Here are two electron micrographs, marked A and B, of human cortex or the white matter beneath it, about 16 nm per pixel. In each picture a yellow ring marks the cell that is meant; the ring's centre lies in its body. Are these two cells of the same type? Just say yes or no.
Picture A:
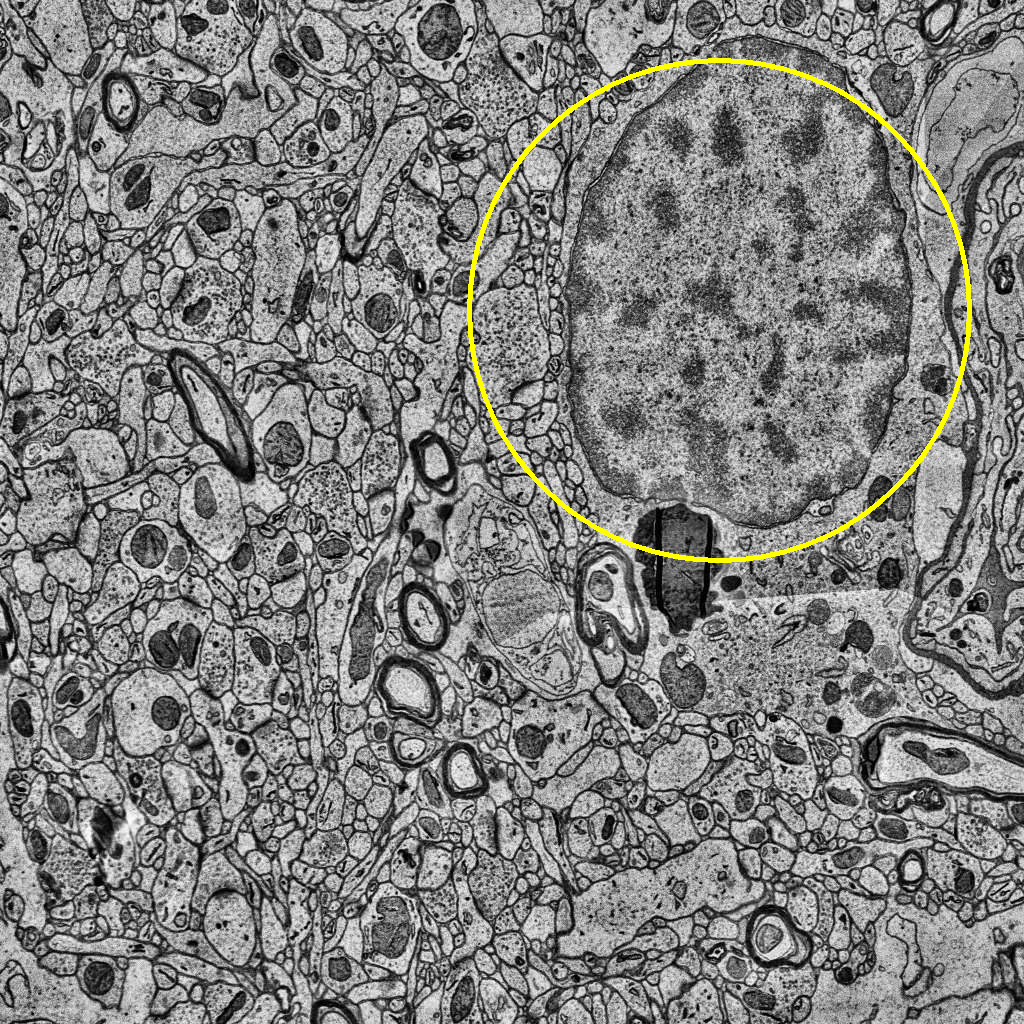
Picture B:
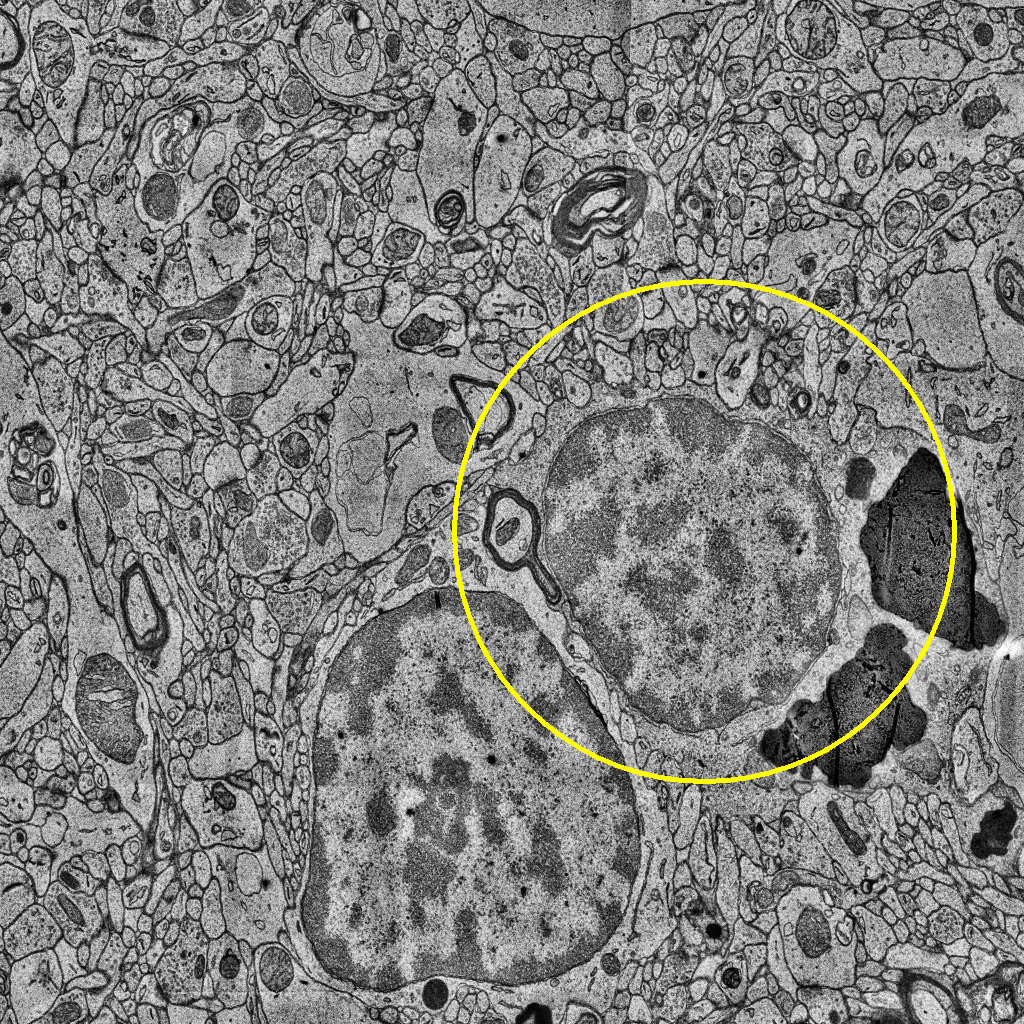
yes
